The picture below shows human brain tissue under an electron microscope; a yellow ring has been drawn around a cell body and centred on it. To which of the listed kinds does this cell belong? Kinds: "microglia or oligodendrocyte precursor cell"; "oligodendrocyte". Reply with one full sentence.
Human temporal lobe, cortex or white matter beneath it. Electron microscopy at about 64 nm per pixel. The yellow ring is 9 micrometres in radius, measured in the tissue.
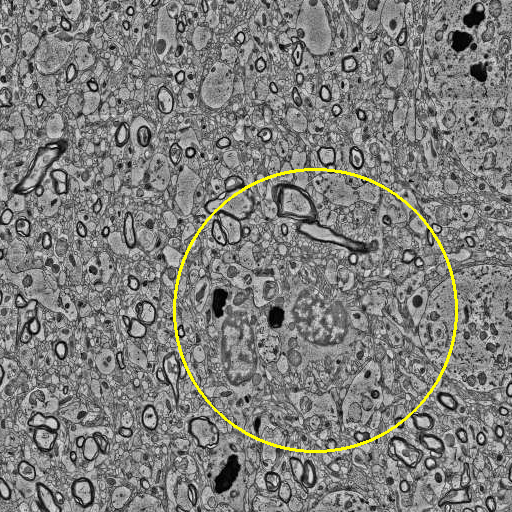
It is an oligodendrocyte that the yellow ring in the picture is centred on.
